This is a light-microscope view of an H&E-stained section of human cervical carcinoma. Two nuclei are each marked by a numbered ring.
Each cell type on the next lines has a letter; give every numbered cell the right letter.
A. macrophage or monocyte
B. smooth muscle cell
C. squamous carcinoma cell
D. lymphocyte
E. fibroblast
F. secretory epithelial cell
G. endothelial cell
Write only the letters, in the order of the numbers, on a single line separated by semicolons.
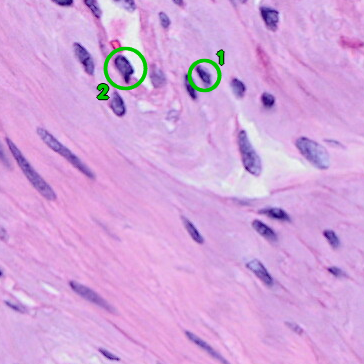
E; G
